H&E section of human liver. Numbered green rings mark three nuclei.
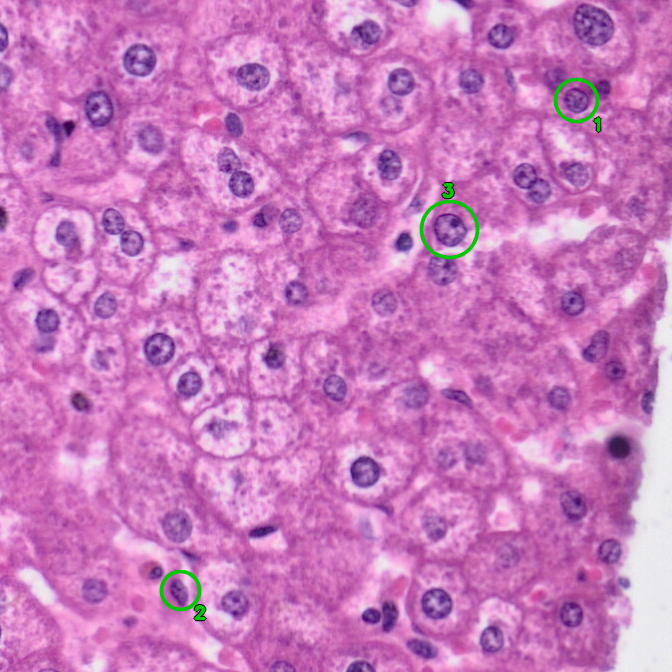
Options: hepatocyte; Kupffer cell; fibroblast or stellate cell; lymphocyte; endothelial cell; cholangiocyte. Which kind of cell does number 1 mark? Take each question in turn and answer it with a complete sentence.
Nucleus 1 in this section belongs to a hepatocyte.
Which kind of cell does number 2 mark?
Here, the cell given the number 2 is a Kupffer cell.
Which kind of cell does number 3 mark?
The cell marked with number 3 is a hepatocyte.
